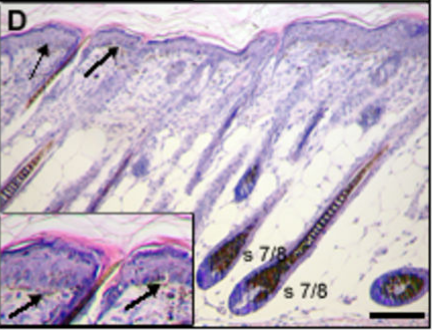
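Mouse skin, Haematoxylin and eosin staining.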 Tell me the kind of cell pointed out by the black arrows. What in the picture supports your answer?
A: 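The arrows point to faint brown pigment in the epidermis, away from the follicle bulbs. The inset shows small pigmented spots in the basal epidermis. So: extrafollicular melanocytes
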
